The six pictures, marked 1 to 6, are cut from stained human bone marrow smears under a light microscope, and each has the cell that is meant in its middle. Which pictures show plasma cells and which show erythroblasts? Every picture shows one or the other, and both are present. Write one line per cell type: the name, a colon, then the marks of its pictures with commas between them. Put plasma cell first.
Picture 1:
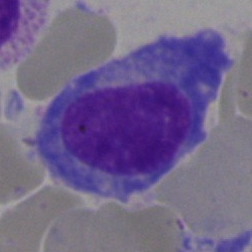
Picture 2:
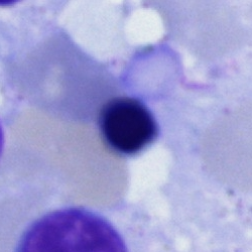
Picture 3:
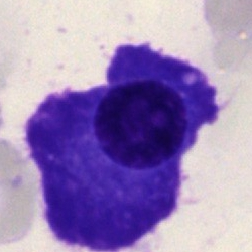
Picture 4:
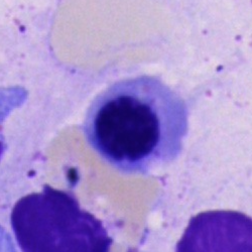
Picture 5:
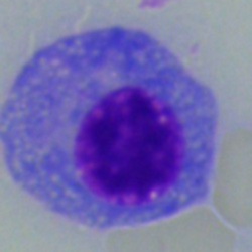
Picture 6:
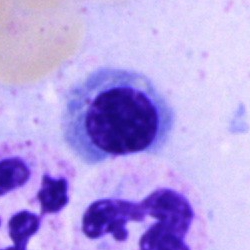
plasma cell: 1, 3, 5
erythroblast: 2, 4, 6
